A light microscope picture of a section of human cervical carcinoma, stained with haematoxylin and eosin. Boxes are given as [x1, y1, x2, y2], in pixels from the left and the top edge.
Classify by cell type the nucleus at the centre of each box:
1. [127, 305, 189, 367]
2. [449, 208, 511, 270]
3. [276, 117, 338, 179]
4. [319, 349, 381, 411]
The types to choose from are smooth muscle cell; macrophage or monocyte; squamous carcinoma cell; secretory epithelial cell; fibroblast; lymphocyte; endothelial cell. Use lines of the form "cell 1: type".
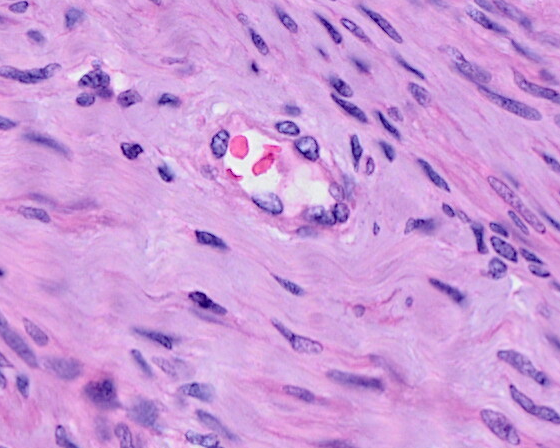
cell 1: fibroblast
cell 2: fibroblast
cell 3: endothelial cell
cell 4: smooth muscle cell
